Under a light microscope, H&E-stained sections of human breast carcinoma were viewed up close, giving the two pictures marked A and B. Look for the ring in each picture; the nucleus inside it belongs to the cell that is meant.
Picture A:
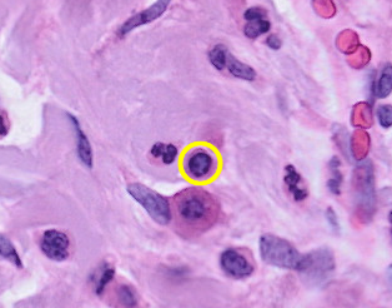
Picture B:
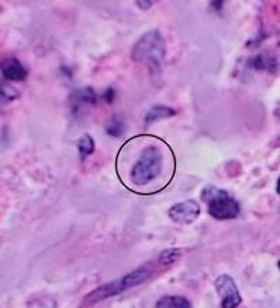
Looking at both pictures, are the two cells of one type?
yes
